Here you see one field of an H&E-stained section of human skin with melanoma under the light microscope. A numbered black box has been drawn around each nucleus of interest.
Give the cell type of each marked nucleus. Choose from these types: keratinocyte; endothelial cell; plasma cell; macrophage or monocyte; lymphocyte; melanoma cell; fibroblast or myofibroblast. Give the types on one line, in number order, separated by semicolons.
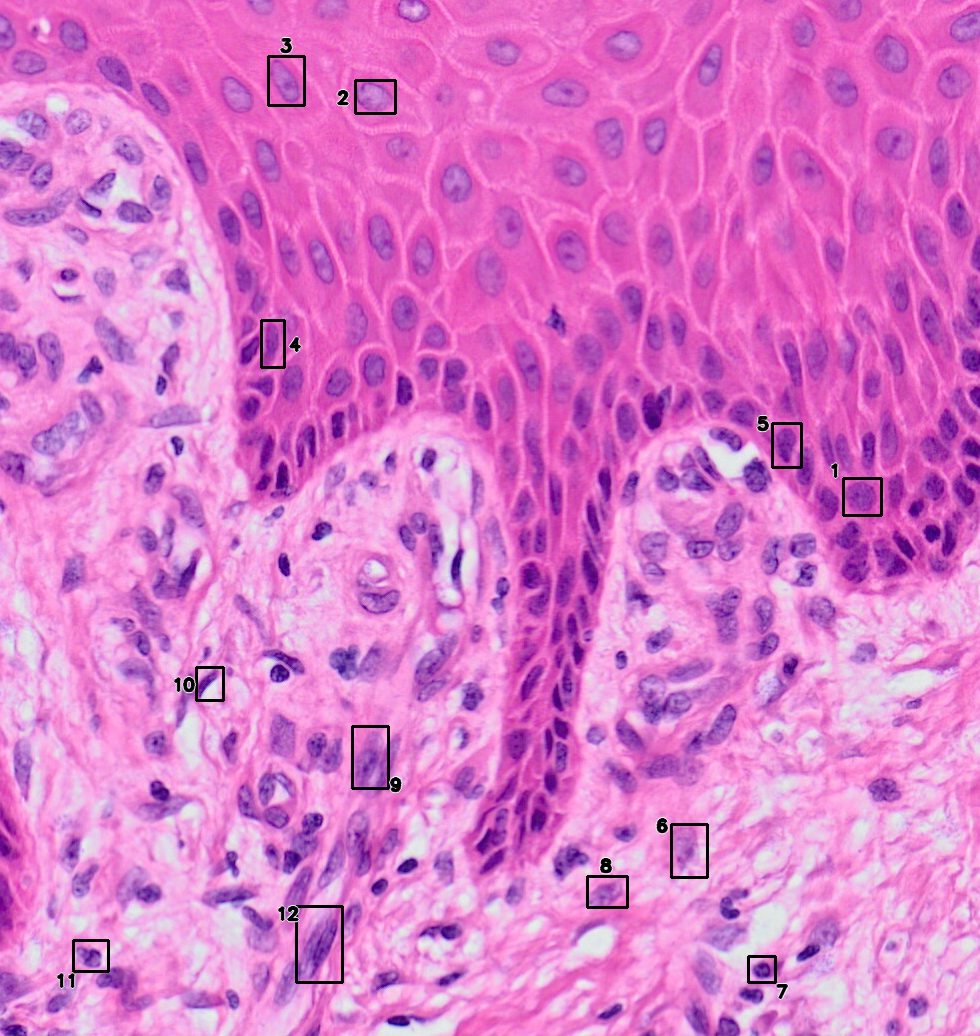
keratinocyte; keratinocyte; keratinocyte; keratinocyte; keratinocyte; fibroblast or myofibroblast; plasma cell; fibroblast or myofibroblast; endothelial cell; fibroblast or myofibroblast; lymphocyte; endothelial cell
